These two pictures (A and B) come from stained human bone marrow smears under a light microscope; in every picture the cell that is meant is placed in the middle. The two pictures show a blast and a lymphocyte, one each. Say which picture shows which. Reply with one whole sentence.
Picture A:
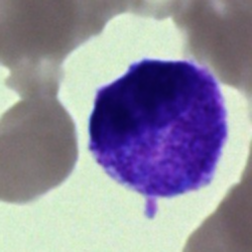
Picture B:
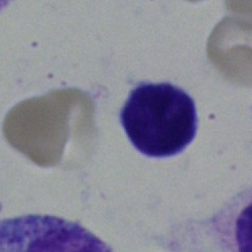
Picture B shows a lymphocyte, while picture A shows a blast.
